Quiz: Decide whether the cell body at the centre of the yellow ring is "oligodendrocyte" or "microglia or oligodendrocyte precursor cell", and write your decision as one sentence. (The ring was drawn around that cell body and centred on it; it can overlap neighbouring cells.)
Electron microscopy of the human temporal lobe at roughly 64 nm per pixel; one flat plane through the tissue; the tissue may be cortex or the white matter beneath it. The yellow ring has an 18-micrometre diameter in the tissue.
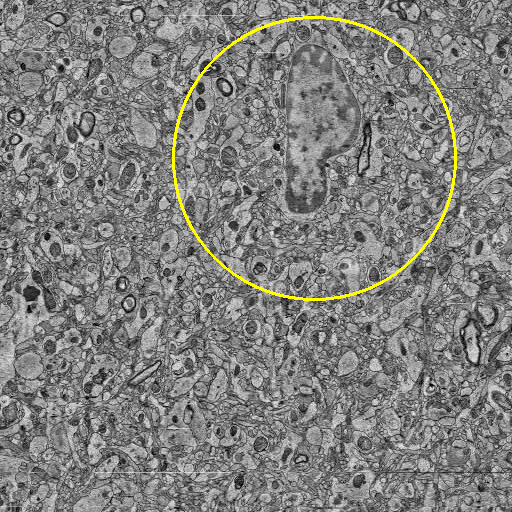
The cell the ring is centred on is a microglial cell or oligodendrocyte precursor cell.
